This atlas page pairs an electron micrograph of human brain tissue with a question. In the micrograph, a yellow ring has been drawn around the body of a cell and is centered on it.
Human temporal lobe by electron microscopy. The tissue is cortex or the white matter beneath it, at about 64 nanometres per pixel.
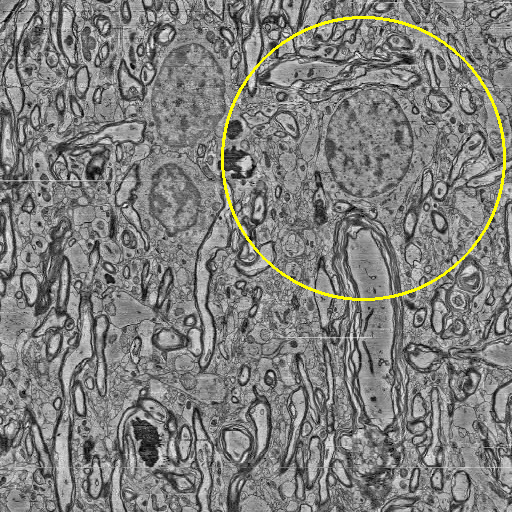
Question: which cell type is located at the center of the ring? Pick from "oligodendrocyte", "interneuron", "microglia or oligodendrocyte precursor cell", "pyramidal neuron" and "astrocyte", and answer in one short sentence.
Located at the center of the ring is a microglial cell or oligodendrocyte precursor cell.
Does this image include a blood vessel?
No.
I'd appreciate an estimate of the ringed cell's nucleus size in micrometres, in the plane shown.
About 8 by 6 micrometers for the nucleus, in this plane.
